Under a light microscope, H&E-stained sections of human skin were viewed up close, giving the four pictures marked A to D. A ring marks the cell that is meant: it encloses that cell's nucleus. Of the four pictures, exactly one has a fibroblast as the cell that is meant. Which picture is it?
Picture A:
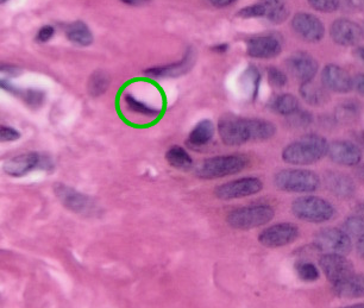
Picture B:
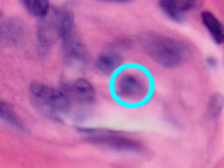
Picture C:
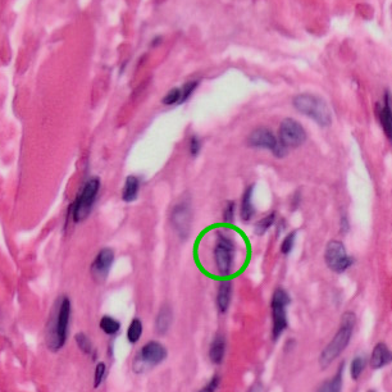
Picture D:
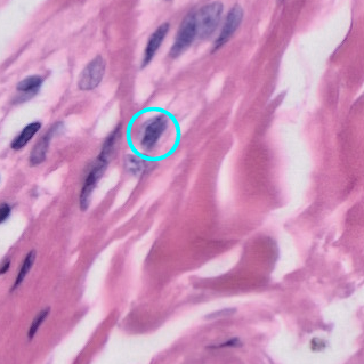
A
